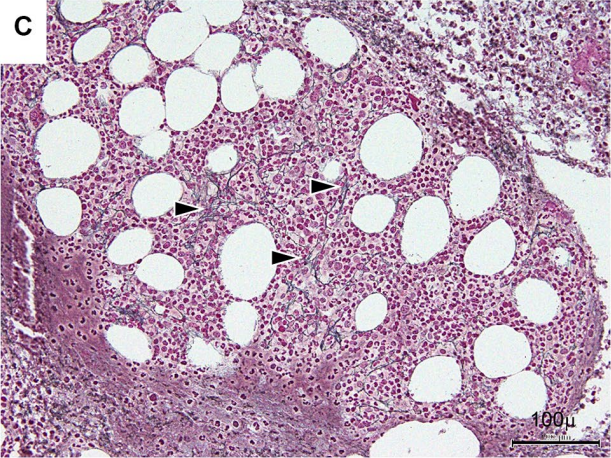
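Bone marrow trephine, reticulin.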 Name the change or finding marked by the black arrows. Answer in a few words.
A: Grade 1 fibrosis.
